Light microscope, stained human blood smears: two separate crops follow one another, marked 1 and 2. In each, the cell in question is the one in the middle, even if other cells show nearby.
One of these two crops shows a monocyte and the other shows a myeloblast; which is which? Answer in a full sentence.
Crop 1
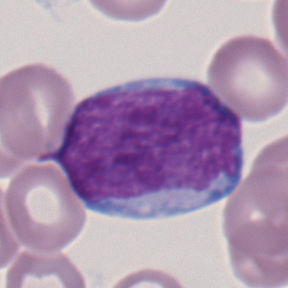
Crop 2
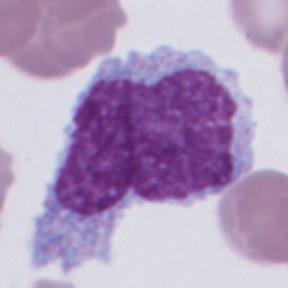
Crop 1 is a myeloblast, whilst crop 2 is a monocyte.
